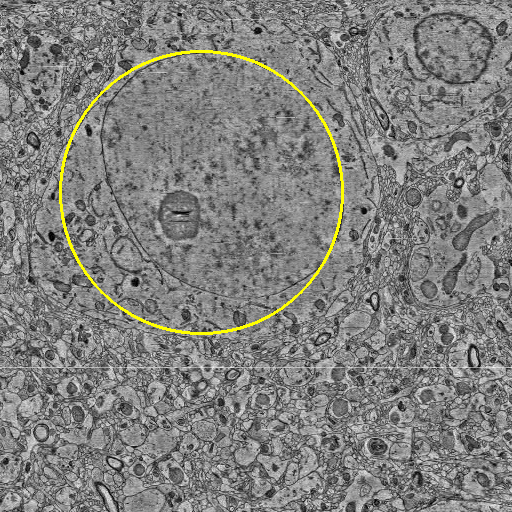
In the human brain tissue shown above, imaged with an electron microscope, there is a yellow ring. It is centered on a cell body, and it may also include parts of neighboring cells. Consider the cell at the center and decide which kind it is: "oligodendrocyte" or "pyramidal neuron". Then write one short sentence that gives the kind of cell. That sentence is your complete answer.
This centered cell body is that of a pyramidal neuron.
